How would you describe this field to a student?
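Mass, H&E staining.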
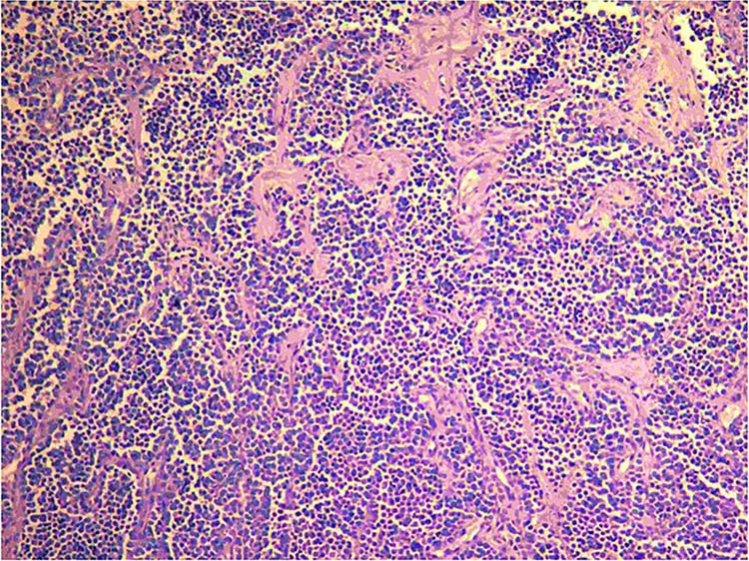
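Tumor with an alveolar pattern. Densely packed, fairly uniform round to polygonal cells have dark blue nuclei and scant pale cytoplasm. The cells fill nests and broad sheets divided by thin, branching, pink fibrous septa. No normal tissue architecture remains in the field. Stroma is scant apart from the septa.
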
